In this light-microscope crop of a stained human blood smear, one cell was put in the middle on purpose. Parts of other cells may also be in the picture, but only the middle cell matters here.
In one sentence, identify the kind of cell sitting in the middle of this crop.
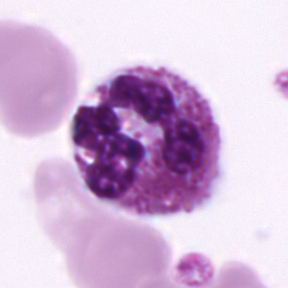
This crop's central cell is an eosinophil.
